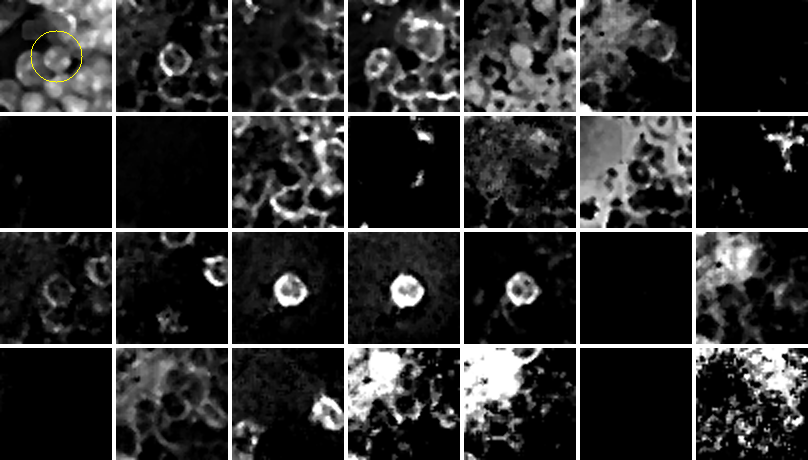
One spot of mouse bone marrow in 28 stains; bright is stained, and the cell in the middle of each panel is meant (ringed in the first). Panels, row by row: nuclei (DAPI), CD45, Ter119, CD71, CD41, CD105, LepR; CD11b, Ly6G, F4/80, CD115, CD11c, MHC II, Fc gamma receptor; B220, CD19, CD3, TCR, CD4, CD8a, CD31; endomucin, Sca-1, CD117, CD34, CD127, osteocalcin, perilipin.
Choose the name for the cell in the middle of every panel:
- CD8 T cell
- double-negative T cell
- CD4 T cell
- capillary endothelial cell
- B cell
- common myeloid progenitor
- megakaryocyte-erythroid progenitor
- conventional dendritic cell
CD4 T cell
